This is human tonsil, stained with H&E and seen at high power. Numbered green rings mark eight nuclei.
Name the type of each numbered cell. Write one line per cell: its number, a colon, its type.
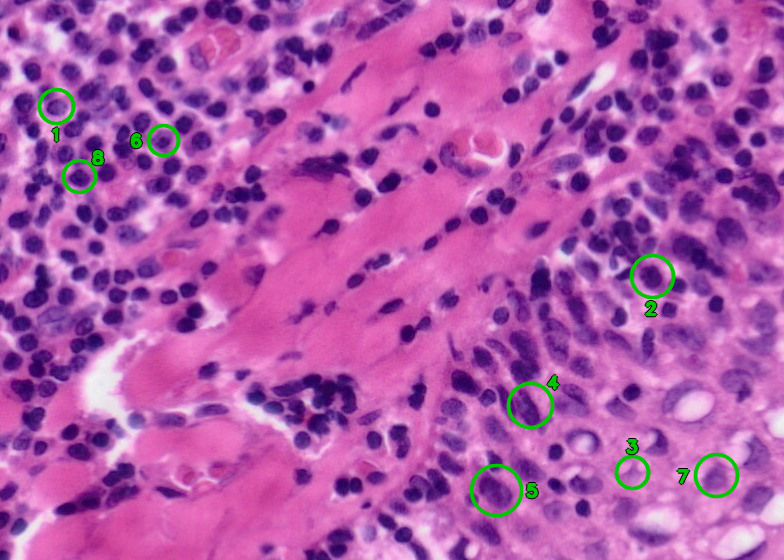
1: plasma cell
2: squamous epithelial cell
3: squamous epithelial cell
4: squamous epithelial cell
5: squamous epithelial cell
6: plasma cell
7: squamous epithelial cell
8: plasma cell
